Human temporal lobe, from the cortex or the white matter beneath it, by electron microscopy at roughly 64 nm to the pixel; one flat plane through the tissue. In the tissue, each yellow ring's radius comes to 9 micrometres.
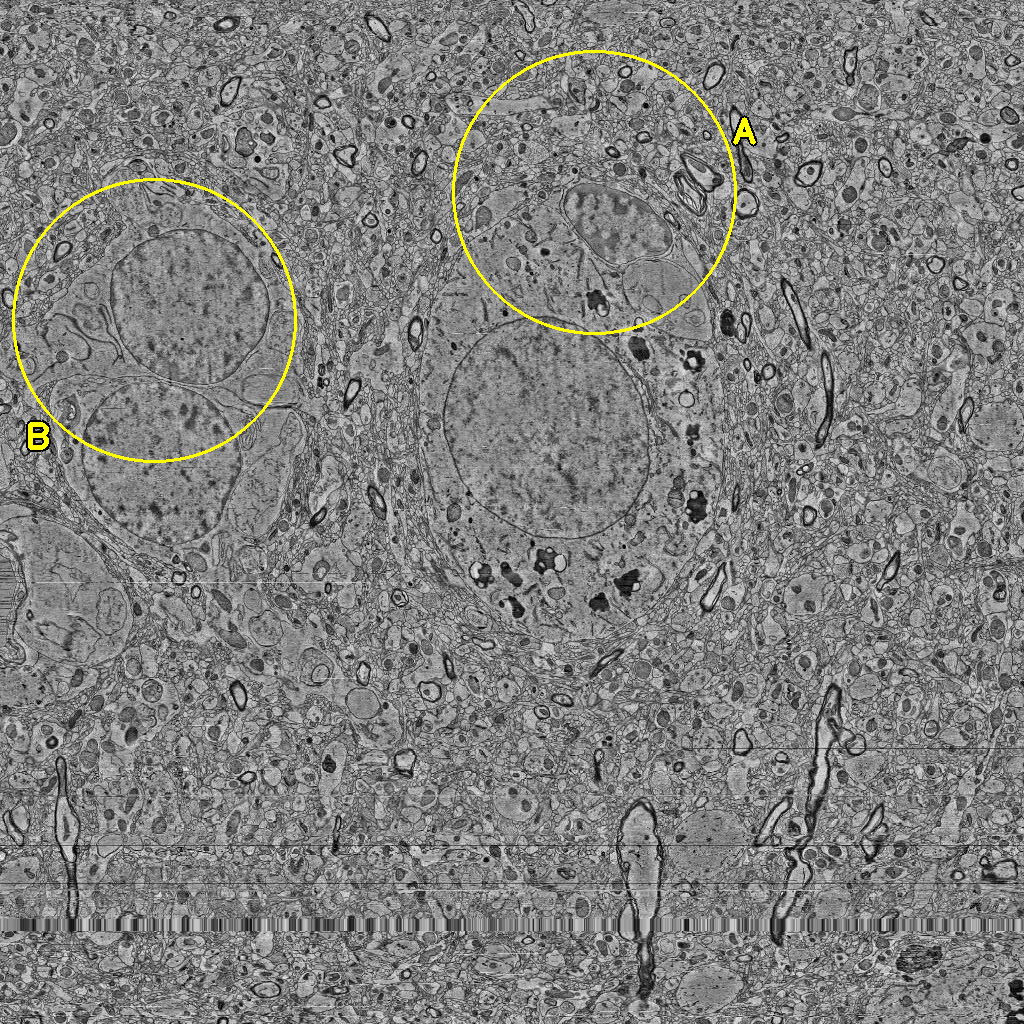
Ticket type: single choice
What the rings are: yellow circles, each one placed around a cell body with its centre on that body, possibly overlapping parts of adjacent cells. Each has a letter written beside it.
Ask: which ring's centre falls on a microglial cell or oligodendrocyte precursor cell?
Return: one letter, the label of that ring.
A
